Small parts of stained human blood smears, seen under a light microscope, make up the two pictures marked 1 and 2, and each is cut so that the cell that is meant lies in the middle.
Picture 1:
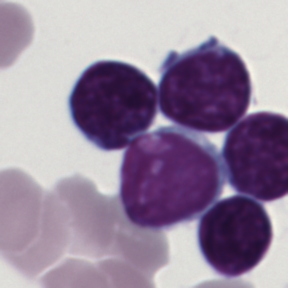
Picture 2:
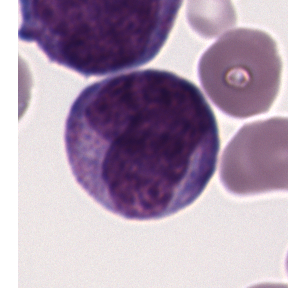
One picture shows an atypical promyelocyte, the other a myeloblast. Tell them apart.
1: myeloblast
2: atypical promyelocyte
